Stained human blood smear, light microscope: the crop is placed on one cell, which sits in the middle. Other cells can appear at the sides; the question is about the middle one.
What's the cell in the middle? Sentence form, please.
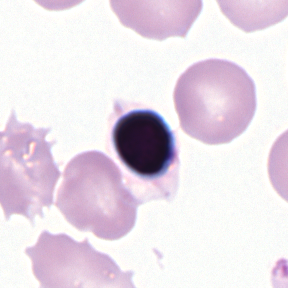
The middle cell in this particular crop is a normoblast.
